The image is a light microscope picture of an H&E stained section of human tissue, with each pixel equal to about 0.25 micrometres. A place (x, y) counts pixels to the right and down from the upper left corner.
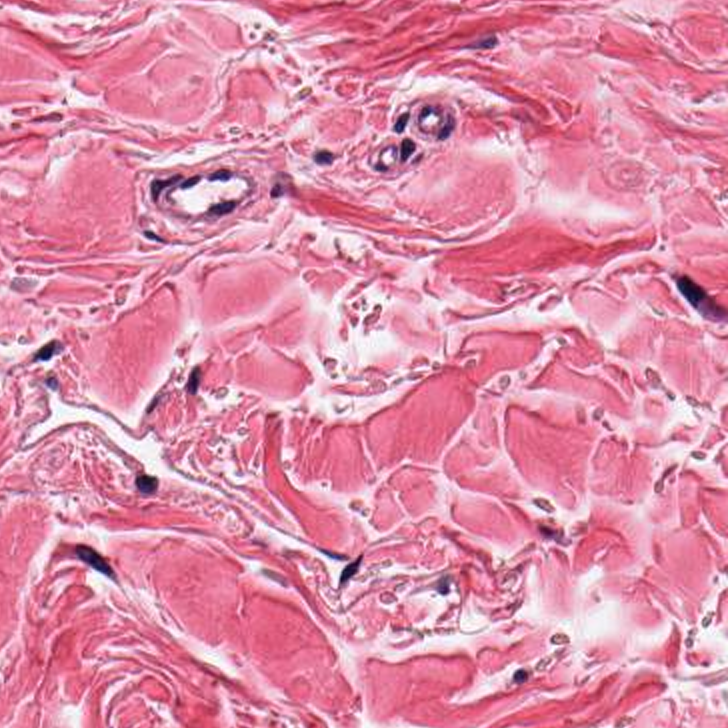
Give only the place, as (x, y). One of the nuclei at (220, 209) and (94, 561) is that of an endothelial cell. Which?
(220, 209)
